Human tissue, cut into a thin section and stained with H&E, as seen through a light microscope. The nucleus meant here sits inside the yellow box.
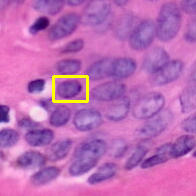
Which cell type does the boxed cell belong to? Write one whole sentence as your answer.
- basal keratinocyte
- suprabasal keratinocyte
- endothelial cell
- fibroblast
To be brief about it, the boxed cell is a basal keratinocyte.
